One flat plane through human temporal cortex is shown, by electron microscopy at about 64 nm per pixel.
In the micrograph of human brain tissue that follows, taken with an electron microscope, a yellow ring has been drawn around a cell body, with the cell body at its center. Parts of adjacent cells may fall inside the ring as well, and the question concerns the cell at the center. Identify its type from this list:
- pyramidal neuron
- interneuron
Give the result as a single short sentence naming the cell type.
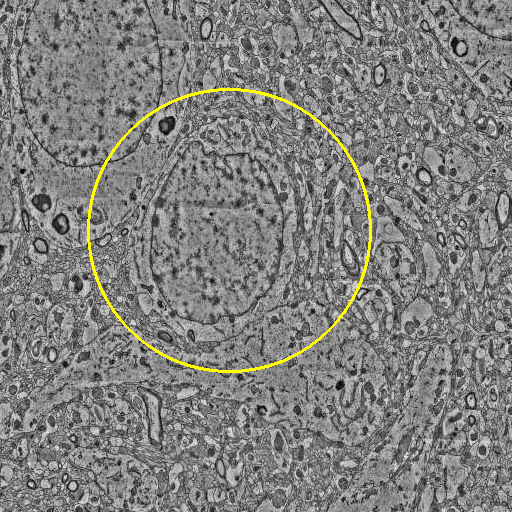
The ring is centered on an interneuron.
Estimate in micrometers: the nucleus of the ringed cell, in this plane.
Roughly 11 by 9 micrometres is the size of the nucleus in this plane.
